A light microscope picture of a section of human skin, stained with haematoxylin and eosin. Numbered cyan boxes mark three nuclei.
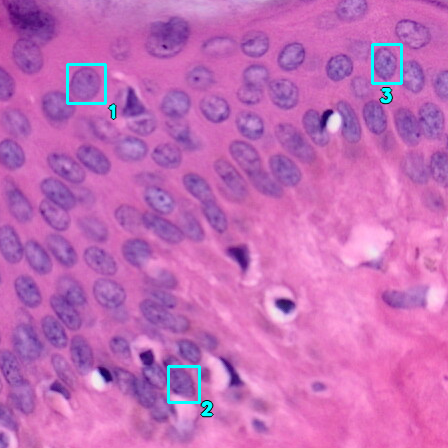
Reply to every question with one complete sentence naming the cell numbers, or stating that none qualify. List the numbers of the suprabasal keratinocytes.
The cells whose numbers are 1 and 3 are suprabasal keratinocytes.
